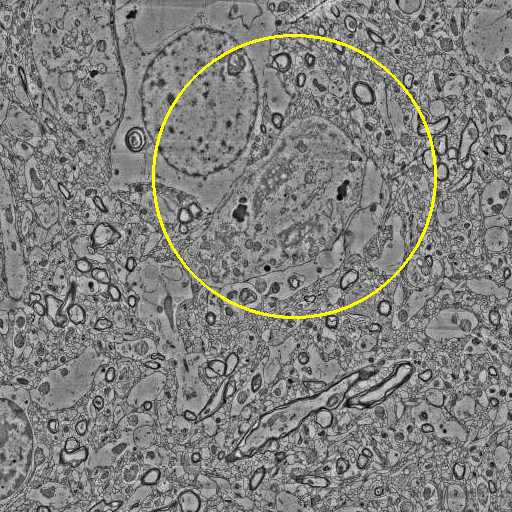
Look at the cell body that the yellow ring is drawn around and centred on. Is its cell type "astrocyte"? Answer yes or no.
no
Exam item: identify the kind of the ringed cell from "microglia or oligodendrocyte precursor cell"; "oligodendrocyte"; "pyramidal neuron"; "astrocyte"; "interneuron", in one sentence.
So the cell at the centre is an interneuron.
